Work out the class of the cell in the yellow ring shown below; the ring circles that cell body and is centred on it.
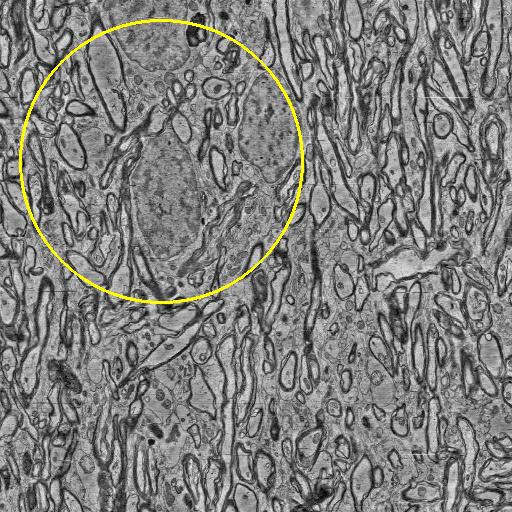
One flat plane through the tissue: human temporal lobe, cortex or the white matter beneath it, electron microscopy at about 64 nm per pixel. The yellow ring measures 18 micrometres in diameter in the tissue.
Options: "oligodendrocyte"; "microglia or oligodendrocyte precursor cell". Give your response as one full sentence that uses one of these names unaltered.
The body ringed in yellow, right at the ring's centre, is that of an oligodendrocyte.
